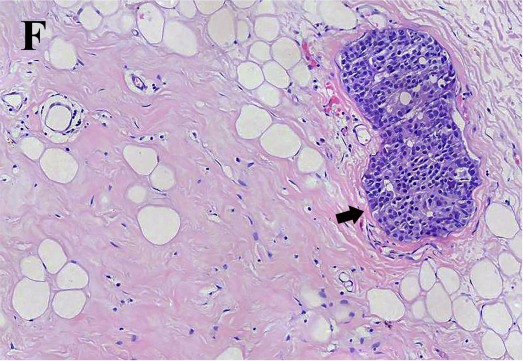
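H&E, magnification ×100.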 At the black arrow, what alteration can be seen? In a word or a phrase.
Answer: Vascular invasion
